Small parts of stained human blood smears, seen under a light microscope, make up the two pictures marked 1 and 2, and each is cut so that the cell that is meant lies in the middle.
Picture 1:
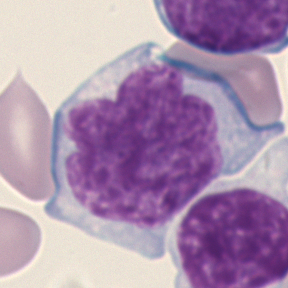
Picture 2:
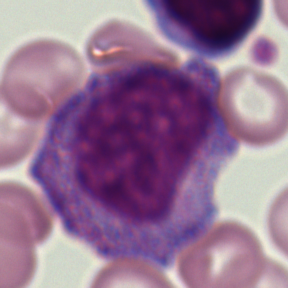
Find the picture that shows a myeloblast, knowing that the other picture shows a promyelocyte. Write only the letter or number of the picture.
1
